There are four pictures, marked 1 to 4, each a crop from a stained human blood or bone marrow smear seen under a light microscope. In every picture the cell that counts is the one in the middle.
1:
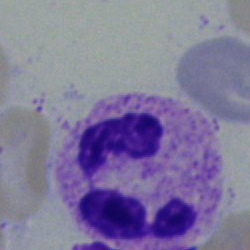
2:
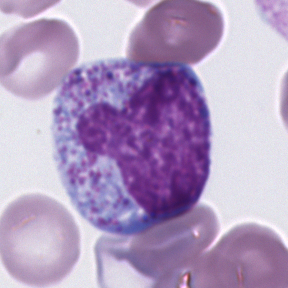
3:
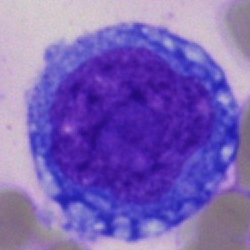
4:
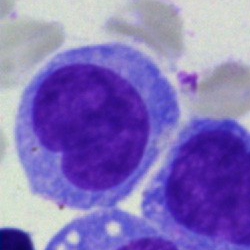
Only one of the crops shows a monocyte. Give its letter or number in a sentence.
The crop marked 4 is the one that shows a monocyte.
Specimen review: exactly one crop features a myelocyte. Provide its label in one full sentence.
Crop 2 is the crop that displays a myelocyte.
